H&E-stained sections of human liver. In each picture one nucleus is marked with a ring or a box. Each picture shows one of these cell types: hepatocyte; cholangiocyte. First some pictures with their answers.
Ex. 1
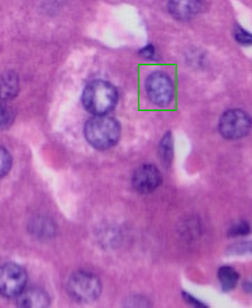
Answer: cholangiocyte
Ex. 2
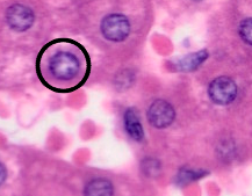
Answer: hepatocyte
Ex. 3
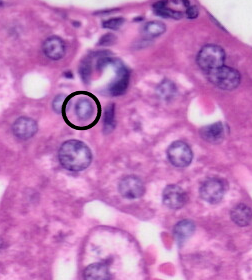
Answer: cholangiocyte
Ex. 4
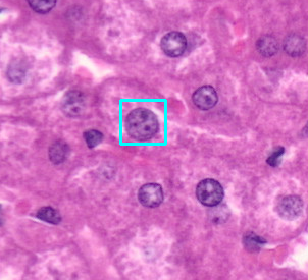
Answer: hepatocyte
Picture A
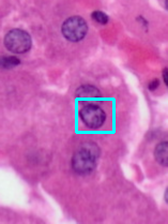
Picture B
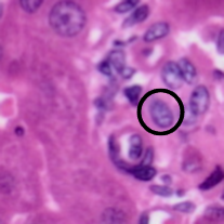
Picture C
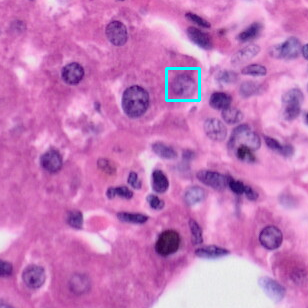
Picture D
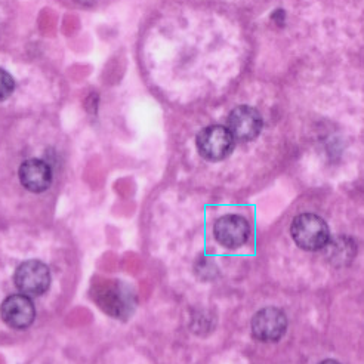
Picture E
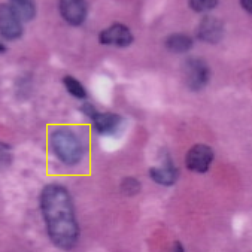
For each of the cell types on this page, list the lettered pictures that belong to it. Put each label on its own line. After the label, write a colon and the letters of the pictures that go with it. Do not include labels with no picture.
hepatocyte: A, D
cholangiocyte: B, C, E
